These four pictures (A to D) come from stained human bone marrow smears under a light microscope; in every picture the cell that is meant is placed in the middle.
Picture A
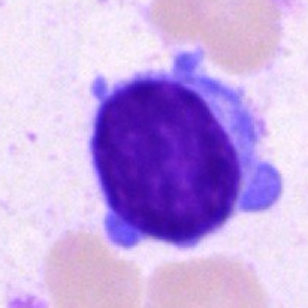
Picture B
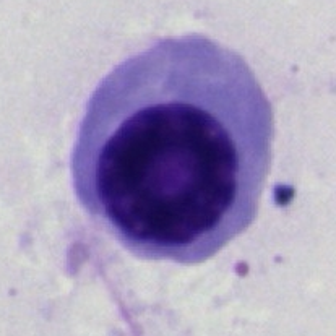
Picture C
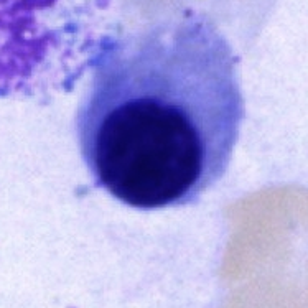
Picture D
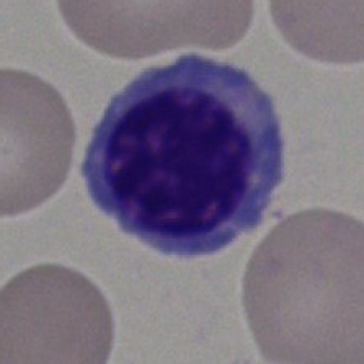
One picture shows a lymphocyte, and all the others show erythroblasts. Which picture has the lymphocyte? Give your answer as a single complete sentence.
The picture with the lymphocyte is A.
